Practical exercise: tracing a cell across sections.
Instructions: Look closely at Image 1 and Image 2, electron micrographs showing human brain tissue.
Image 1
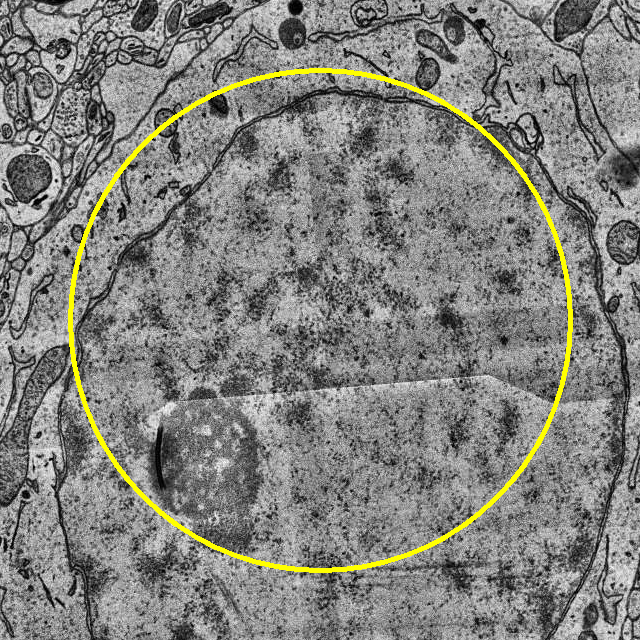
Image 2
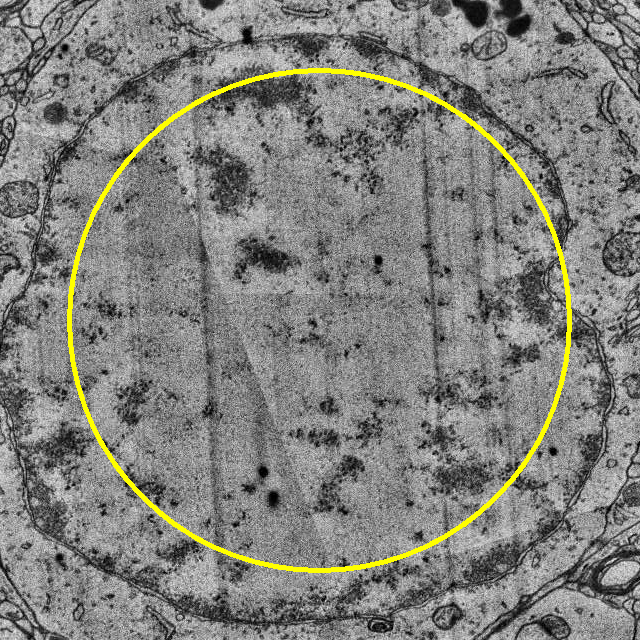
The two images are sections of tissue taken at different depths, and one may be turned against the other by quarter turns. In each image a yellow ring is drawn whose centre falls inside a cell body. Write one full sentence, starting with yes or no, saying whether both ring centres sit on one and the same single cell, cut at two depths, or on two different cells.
No, the rings mark separate cells, one per ring.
